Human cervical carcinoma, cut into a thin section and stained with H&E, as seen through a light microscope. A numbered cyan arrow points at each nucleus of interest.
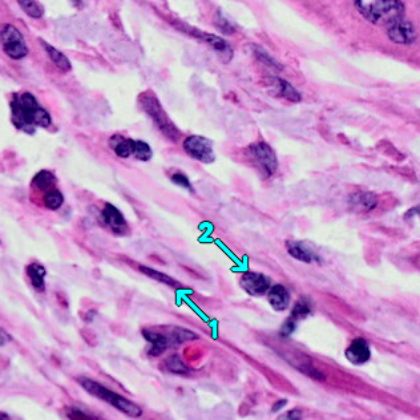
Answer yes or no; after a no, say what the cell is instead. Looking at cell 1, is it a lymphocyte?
No, it is a fibroblast.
